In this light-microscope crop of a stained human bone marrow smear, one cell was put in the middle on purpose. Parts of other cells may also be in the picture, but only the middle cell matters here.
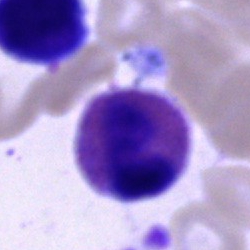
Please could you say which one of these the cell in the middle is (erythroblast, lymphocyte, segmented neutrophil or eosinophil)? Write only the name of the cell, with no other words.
eosinophil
